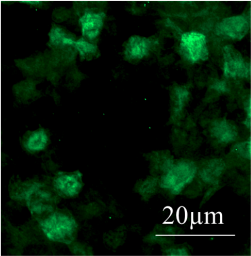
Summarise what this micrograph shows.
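The brightest cells are rounded, with a cloudy, somewhat granular green interior. They lie scattered singly or in small groups across the field. Between them are dark spaces and dimmer green cells that are less sharply outlined. No fibres or elongated structures can be seen among the rounded cells.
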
